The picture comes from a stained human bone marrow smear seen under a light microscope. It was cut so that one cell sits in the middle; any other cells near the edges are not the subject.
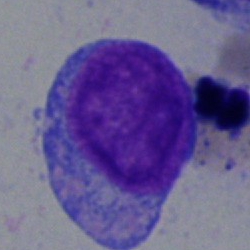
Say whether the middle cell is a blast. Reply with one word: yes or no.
yes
